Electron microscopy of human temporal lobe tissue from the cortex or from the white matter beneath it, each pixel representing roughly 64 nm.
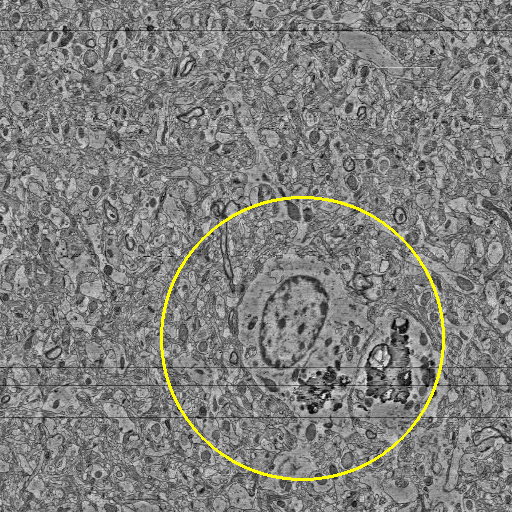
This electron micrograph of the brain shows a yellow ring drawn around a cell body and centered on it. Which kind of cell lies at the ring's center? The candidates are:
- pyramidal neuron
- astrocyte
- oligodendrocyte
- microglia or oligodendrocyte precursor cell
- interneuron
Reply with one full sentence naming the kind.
The cell lying at the ring's center in this micrograph is an astrocyte.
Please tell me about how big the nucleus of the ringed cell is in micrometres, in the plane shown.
The ringed cell's nucleus is roughly 6 by 4 micrometres and clearly longer than it is wide in this plane.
